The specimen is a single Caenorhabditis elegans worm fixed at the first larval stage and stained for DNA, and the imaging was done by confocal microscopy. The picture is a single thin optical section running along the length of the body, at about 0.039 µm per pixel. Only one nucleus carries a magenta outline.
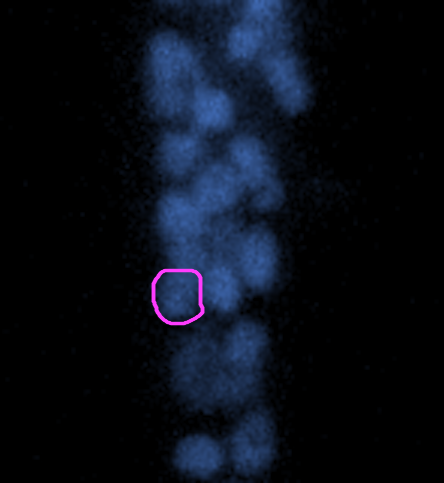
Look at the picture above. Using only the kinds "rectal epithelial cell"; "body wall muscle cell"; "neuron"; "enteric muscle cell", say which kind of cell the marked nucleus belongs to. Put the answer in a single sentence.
The nucleus comes from a body wall muscle cell.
